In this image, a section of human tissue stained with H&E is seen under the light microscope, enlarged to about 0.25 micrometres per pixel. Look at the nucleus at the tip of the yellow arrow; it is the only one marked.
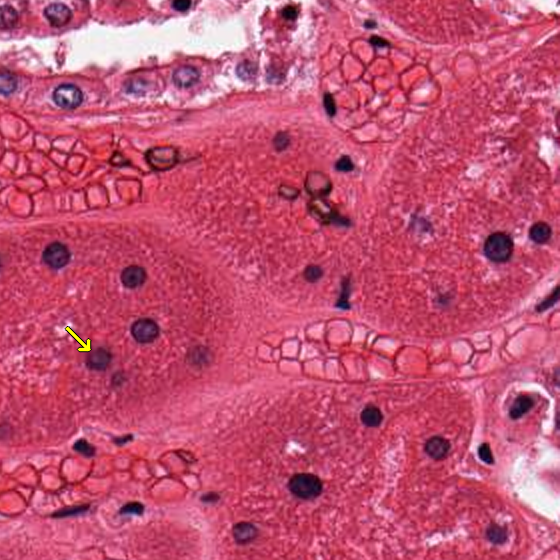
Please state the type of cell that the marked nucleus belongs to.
proximal tubule cell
